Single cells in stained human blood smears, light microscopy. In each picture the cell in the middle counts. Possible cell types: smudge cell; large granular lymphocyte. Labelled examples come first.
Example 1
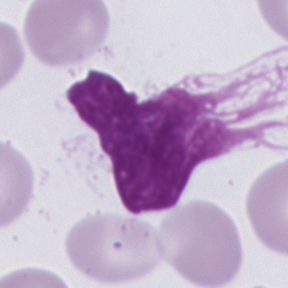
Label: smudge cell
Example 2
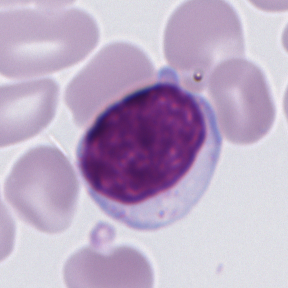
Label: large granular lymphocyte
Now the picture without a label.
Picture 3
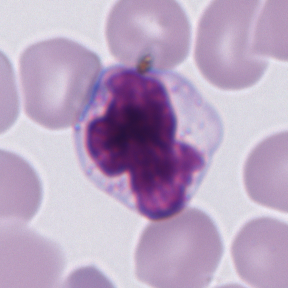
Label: large granular lymphocyte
